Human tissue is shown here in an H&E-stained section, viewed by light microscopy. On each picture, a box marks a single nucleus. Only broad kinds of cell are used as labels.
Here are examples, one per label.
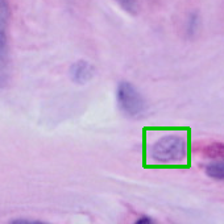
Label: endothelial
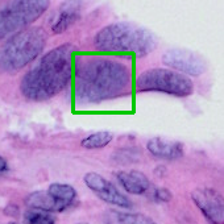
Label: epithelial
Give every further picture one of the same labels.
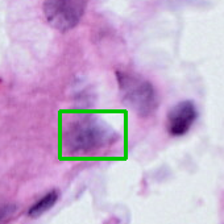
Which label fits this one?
endothelial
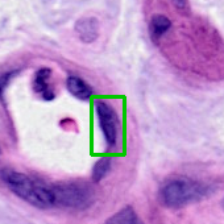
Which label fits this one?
endothelial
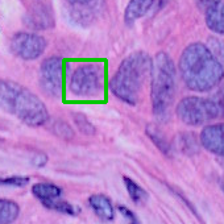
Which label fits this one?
epithelial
